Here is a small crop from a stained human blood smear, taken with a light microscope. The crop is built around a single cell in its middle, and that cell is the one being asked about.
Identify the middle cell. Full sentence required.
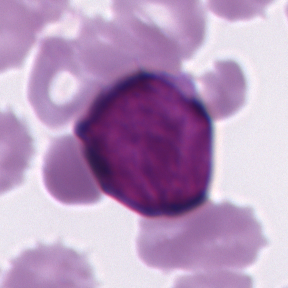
Classification of the middle cell gives a myeloblast.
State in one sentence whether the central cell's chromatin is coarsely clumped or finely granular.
In this cell the chromatin is fine rather than coarsely clumped.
